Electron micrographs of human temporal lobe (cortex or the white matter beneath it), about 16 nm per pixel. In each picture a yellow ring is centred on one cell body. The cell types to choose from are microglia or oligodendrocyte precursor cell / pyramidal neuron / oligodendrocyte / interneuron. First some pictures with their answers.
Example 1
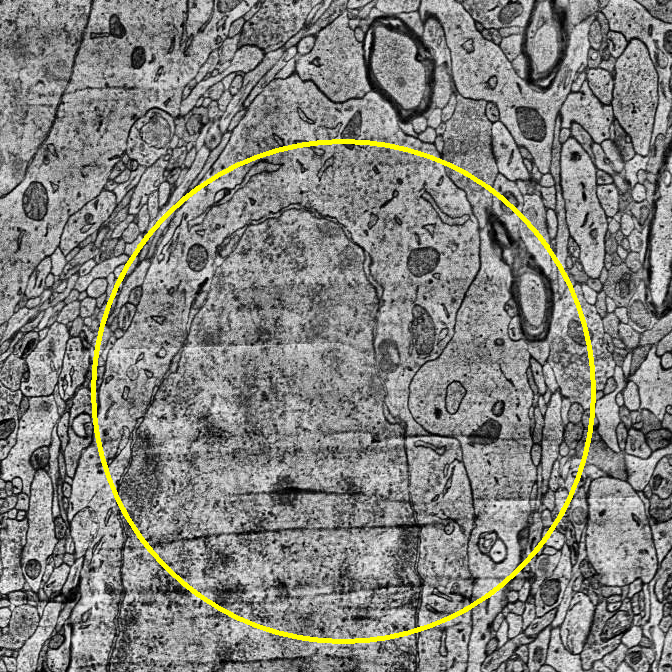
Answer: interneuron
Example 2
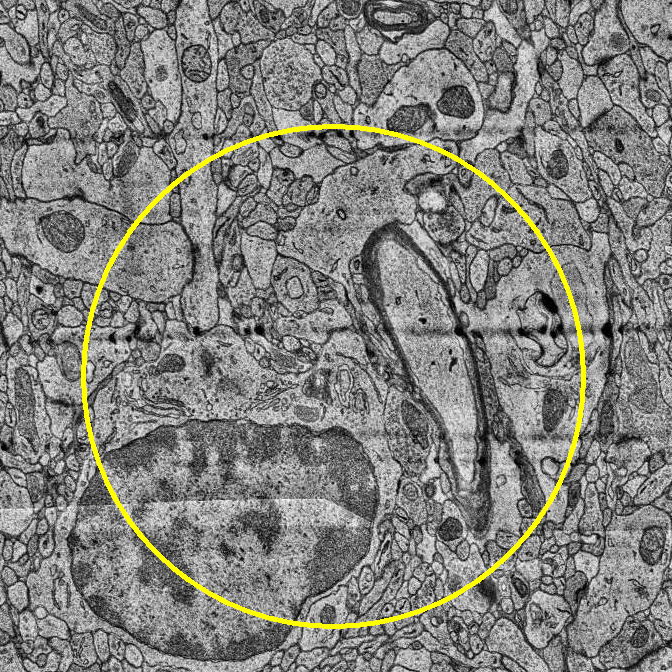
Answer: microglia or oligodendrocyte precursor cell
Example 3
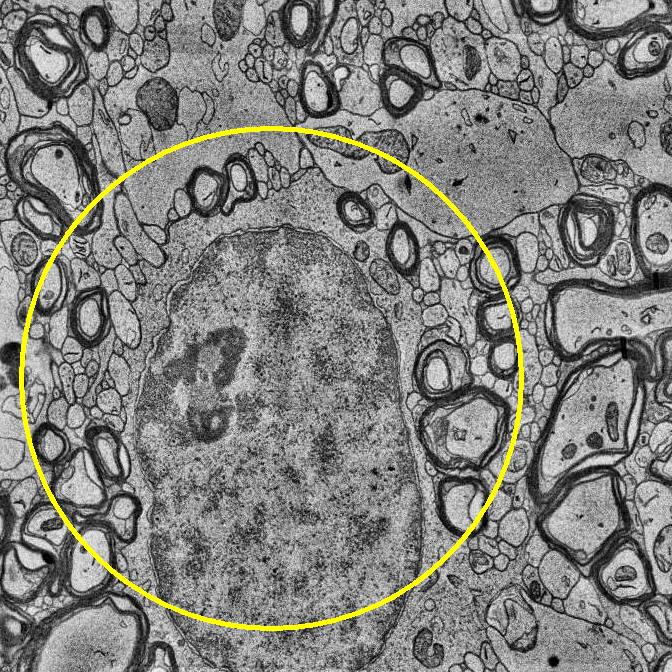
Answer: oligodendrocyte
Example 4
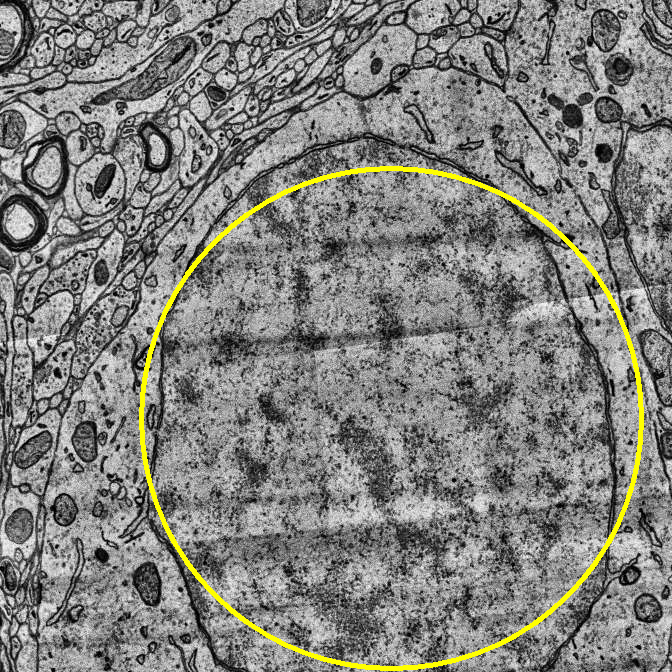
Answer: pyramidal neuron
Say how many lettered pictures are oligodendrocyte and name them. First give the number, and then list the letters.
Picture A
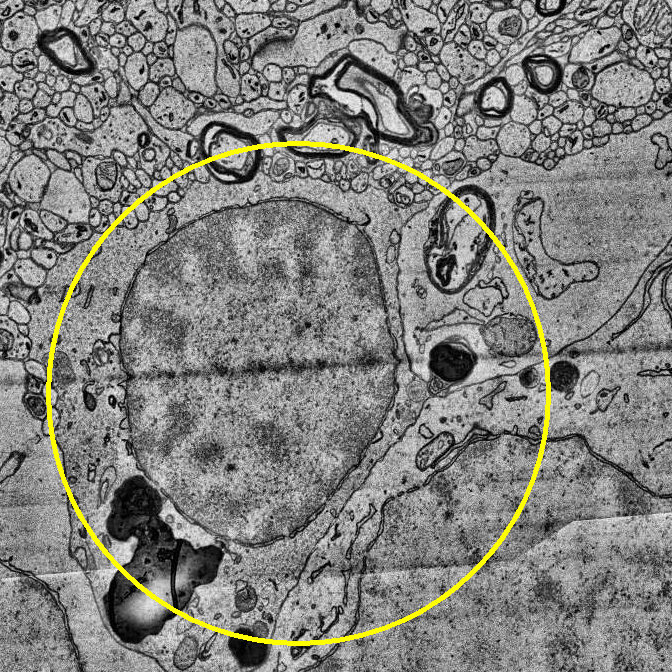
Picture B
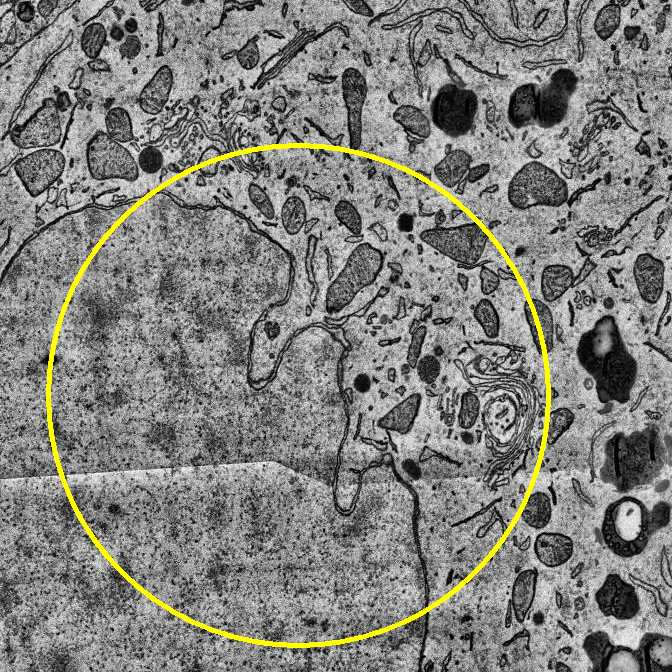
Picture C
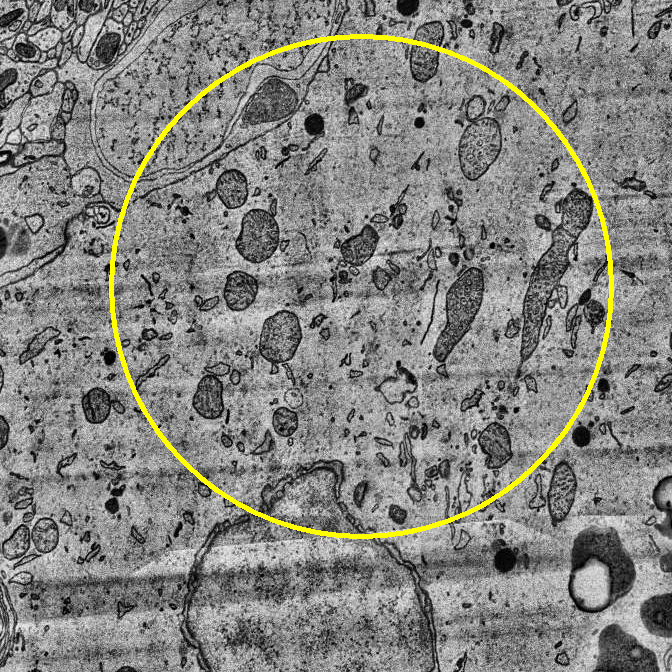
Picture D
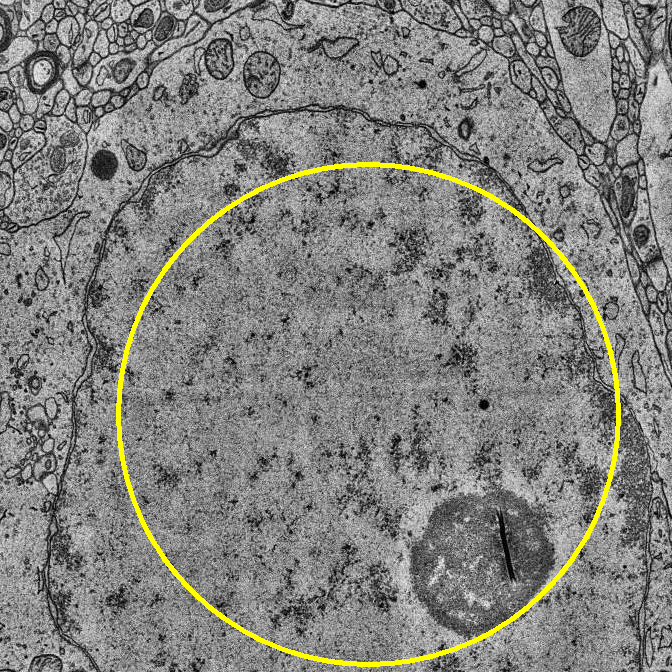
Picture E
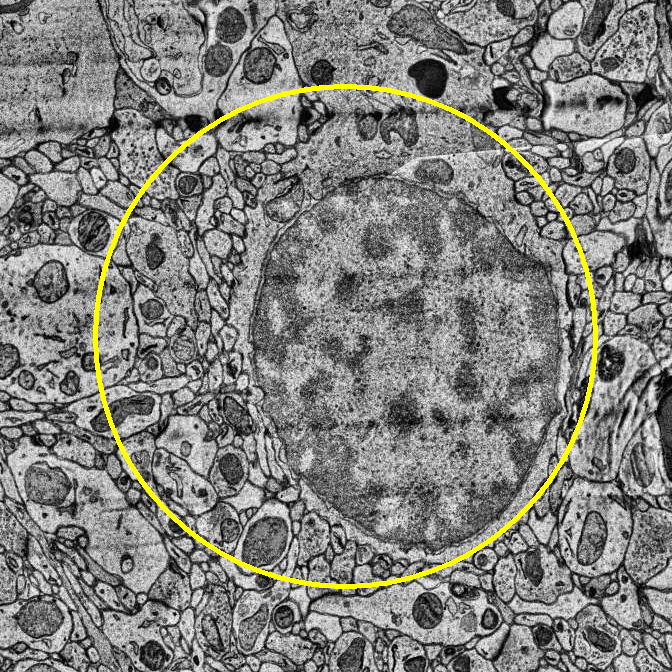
3: A, C, E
